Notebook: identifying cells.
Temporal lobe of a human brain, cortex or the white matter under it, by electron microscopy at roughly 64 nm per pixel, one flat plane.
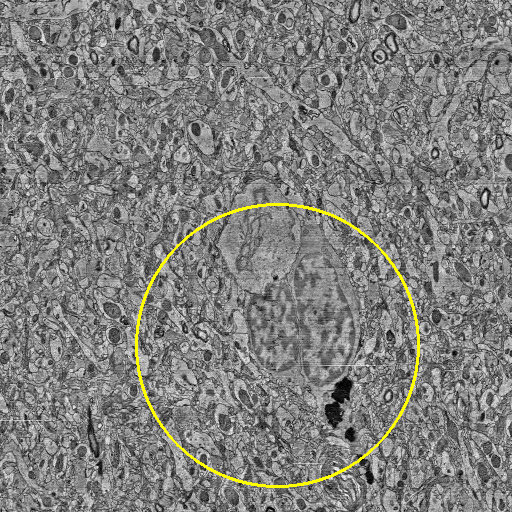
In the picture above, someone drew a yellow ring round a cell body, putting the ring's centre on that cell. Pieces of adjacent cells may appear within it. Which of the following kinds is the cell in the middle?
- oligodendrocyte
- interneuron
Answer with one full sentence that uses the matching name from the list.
In this picture, the yellow ring is centred on the body of an oligodendrocyte.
